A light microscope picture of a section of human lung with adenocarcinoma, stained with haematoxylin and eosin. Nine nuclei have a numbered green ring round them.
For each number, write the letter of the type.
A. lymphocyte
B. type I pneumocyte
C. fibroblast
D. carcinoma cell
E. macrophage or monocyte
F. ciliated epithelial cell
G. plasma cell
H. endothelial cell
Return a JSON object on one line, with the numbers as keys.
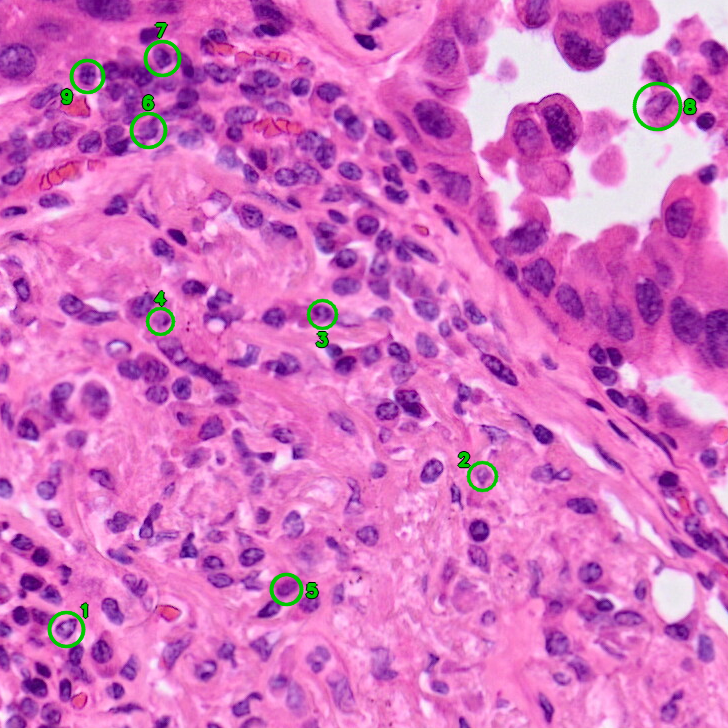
{"1": "A", "2": "G", "3": "G", "4": "G", "5": "G", "6": "A", "7": "A", "8": "E", "9": "A"}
